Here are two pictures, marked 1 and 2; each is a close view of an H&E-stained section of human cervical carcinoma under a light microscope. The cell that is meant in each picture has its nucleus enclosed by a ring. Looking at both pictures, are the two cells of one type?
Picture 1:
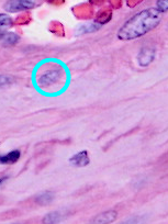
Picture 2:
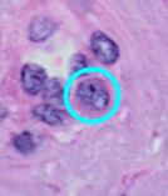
no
